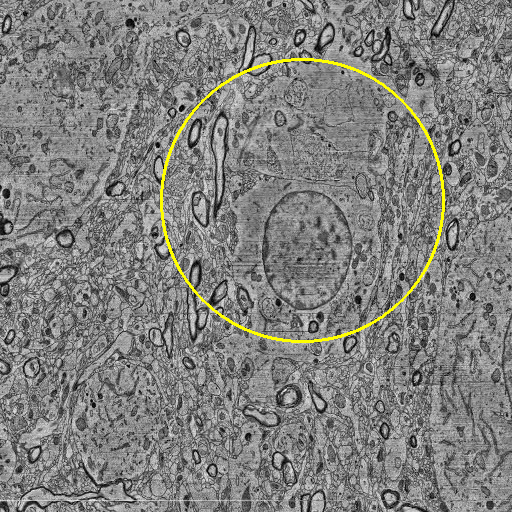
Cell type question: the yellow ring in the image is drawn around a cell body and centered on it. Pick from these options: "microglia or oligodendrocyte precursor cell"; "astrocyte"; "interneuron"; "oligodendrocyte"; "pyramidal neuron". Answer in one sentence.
The ringed cell at the center is an astrocyte.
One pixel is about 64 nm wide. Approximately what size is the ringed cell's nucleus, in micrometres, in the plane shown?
In this plane, approximately 8 by 6 micrometers.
